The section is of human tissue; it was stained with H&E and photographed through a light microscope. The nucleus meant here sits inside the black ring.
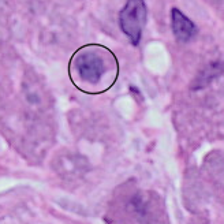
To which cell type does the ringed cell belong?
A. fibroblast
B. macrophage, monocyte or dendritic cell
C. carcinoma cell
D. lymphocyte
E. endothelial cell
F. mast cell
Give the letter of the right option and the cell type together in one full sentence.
Option B is correct in that the ringed cell is a macrophage, monocyte or dendritic cell.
